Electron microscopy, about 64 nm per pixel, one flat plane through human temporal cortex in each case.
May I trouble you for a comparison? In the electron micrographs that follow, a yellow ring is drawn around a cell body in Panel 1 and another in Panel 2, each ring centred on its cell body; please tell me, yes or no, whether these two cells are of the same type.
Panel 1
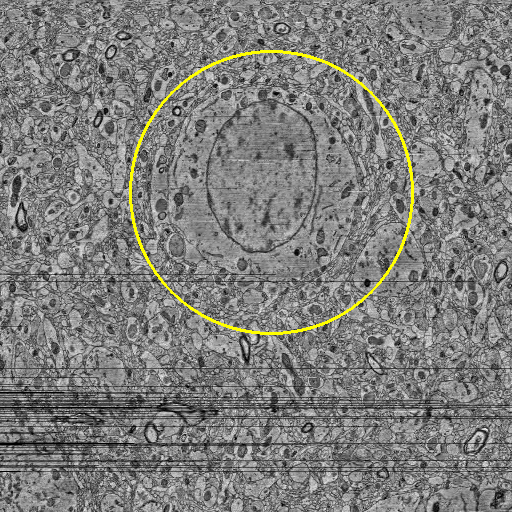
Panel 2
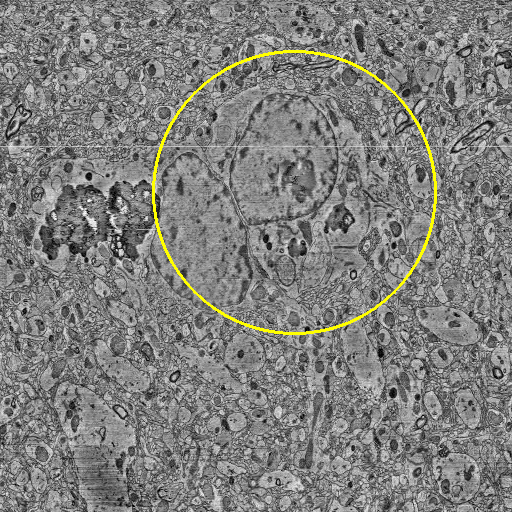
no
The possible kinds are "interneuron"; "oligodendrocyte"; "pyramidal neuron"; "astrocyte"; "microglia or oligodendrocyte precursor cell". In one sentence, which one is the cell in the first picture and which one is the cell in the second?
The cell ringed in the second picture is an astrocyte, whereas the one ringed in the first is a pyramidal neuron.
